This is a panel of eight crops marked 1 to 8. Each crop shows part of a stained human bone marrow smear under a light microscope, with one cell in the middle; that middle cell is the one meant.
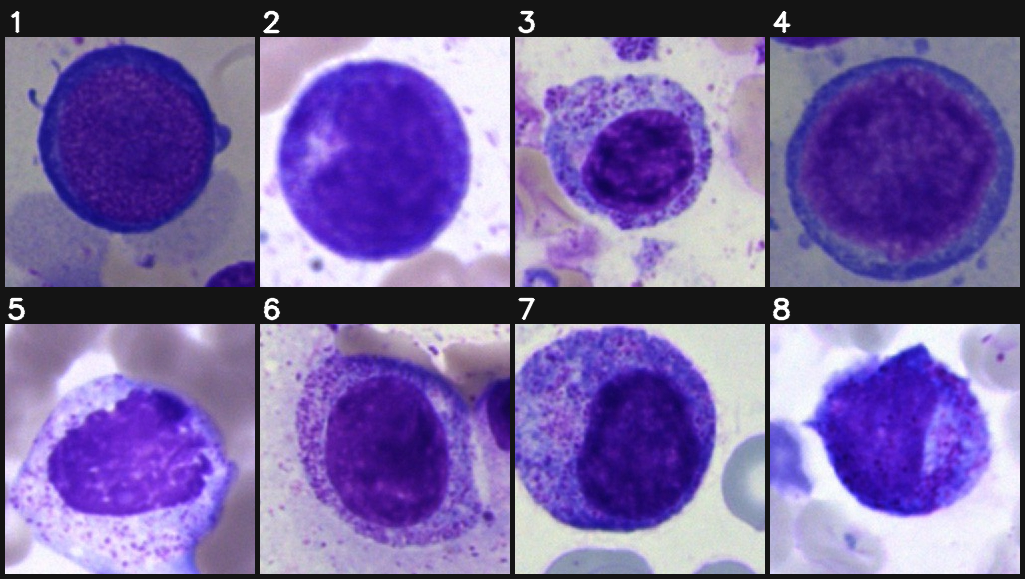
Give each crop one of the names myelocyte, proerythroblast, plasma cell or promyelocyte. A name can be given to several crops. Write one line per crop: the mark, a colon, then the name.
1: proerythroblast
2: promyelocyte
3: myelocyte
4: proerythroblast
5: promyelocyte
6: myelocyte
7: promyelocyte
8: promyelocyte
